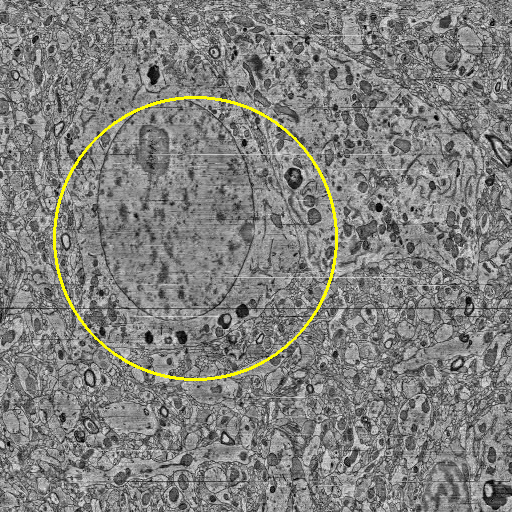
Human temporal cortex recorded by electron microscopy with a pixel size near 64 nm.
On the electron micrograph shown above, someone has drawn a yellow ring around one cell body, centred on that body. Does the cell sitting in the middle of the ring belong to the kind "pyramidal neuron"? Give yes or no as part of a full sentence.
Yes, the cell located in the middle of the ring in the micrograph is of that kind.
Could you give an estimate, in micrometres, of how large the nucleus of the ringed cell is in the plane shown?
Roughly 15 by 10 micrometres in this plane, for the nucleus of the ringed cell.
